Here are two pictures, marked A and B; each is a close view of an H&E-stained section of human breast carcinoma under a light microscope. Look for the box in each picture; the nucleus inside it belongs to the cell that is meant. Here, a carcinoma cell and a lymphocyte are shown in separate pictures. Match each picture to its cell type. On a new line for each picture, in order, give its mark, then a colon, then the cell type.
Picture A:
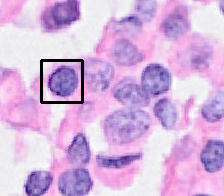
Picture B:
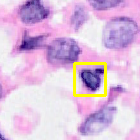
A: carcinoma cell
B: lymphocyte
